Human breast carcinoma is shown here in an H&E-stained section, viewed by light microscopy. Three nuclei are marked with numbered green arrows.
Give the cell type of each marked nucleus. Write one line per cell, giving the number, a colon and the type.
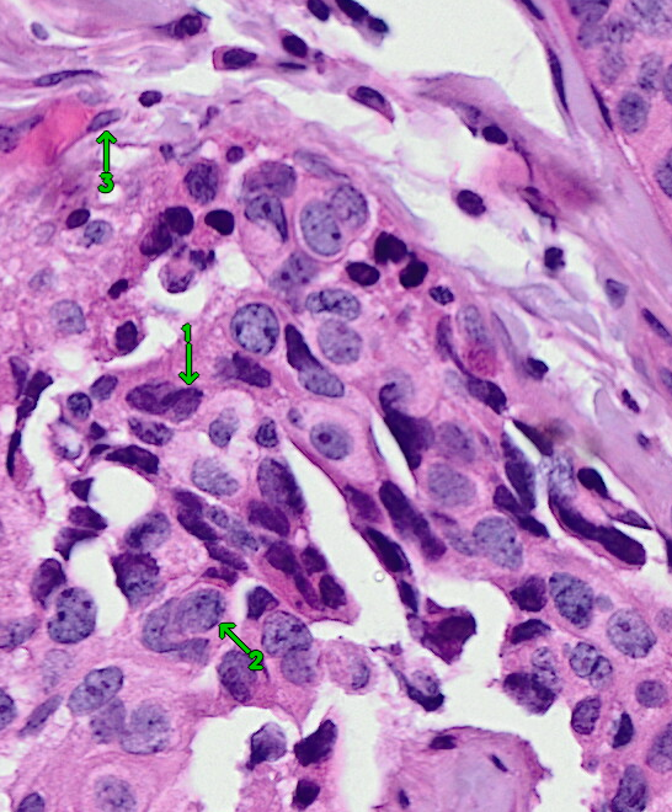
1: carcinoma cell
2: carcinoma cell
3: endothelial cell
